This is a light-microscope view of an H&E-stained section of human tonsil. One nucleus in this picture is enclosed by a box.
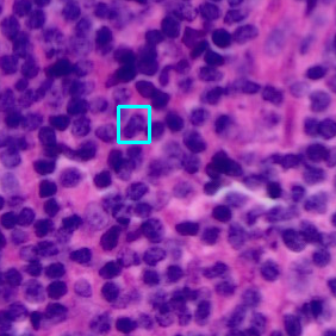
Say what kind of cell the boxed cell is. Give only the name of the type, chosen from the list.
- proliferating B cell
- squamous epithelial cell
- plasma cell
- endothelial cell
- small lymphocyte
small lymphocyte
